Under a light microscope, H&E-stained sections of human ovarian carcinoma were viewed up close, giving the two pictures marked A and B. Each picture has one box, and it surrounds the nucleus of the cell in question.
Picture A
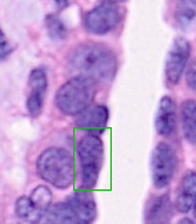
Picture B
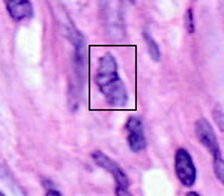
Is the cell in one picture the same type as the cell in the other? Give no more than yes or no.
no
